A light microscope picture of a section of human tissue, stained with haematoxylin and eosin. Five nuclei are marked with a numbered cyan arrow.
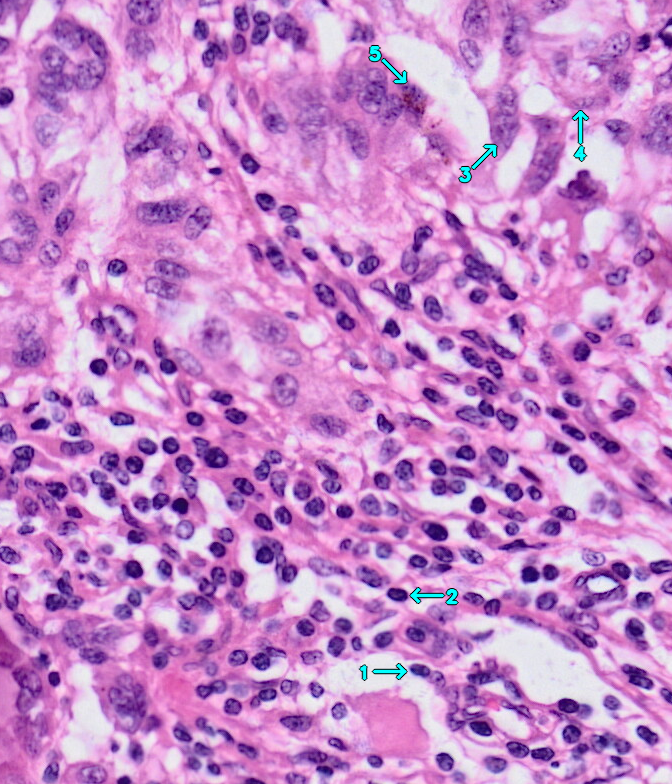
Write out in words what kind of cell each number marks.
Cells 1 and 2 are lymphocytes. Cells 3, 4 and 5 are melanoma cells.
